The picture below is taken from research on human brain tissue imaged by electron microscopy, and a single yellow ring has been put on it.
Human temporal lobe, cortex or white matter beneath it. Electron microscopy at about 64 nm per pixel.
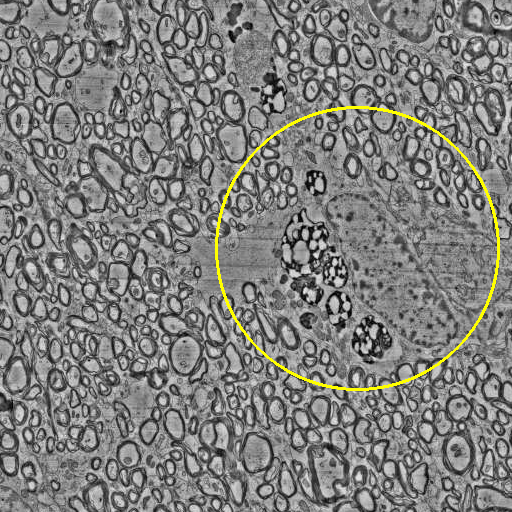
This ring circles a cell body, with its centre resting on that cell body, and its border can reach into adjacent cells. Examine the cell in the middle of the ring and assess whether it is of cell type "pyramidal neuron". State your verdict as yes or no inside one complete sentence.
No, in the picture, the cell lying at the centre of the ring is of a different type.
